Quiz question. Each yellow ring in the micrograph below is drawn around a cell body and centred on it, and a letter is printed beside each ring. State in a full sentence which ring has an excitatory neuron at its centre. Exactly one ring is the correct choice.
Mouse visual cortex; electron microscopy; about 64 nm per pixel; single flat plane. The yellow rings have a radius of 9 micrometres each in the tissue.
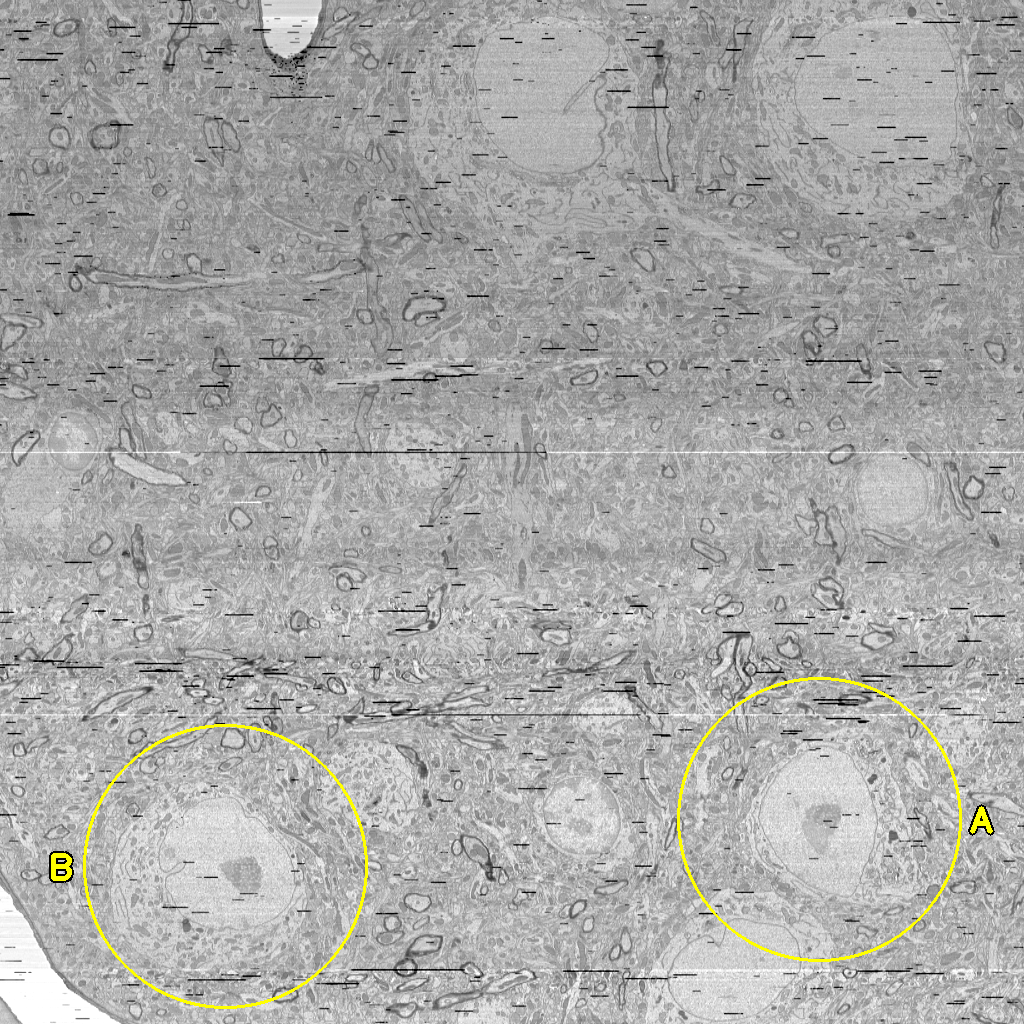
The correct ring is ring B.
